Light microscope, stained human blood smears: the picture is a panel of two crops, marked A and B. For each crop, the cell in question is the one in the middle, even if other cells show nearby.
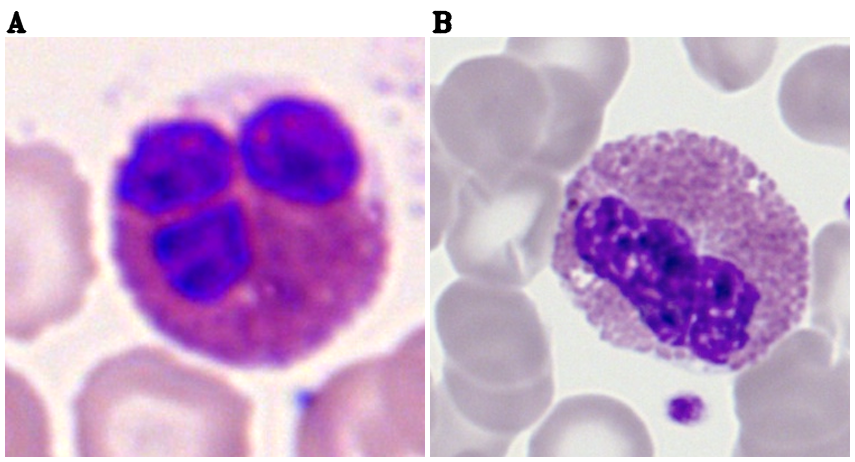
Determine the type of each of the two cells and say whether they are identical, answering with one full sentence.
Yes, both of the crops show eosinophils.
